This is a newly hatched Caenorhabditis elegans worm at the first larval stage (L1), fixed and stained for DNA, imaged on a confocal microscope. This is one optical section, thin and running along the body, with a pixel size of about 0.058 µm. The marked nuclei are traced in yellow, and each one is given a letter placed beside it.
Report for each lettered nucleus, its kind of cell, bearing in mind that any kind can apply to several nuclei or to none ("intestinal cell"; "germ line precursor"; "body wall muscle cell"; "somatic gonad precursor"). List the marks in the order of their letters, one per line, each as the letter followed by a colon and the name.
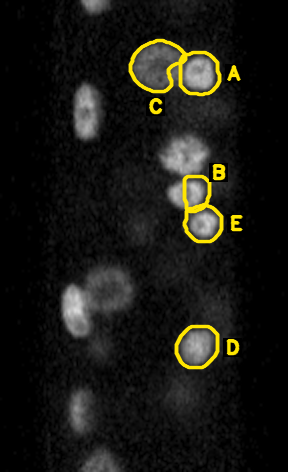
A: body wall muscle cell
B: somatic gonad precursor
C: intestinal cell
D: body wall muscle cell
E: body wall muscle cell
